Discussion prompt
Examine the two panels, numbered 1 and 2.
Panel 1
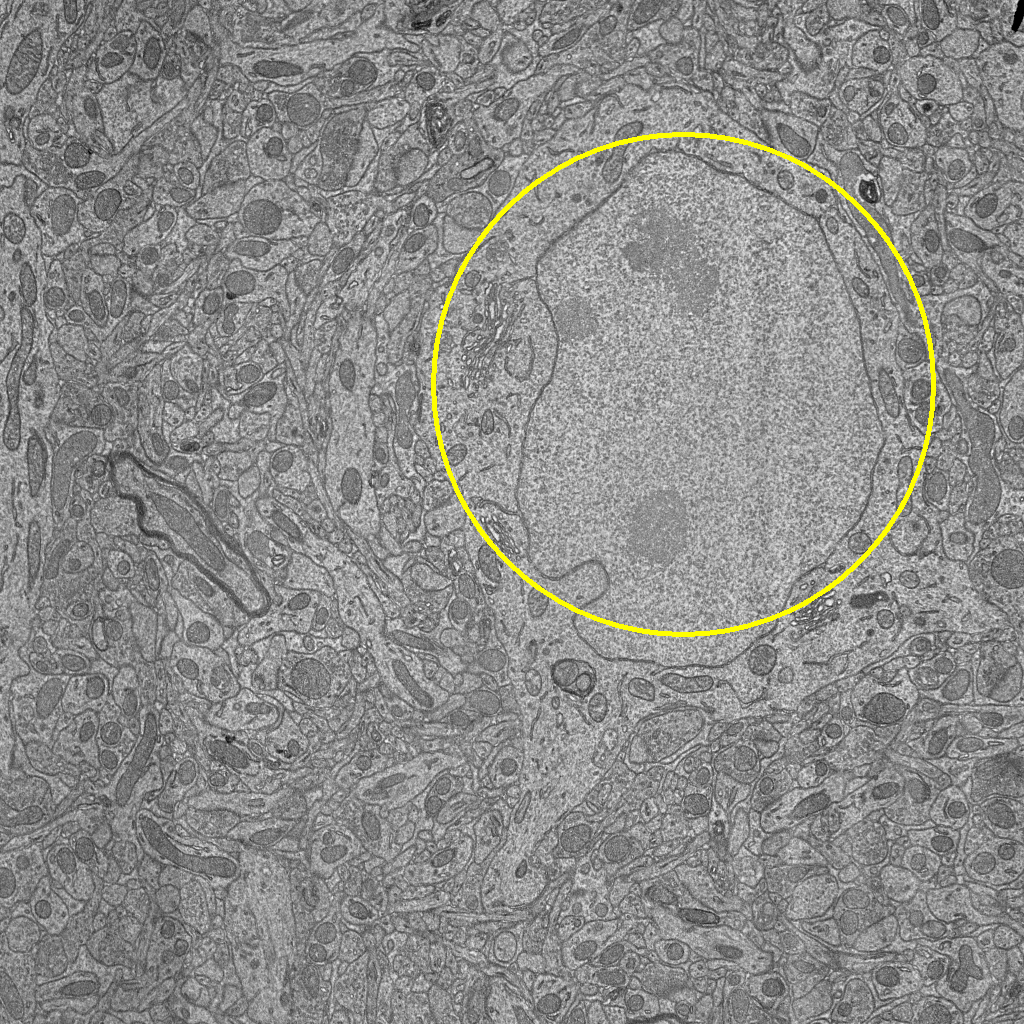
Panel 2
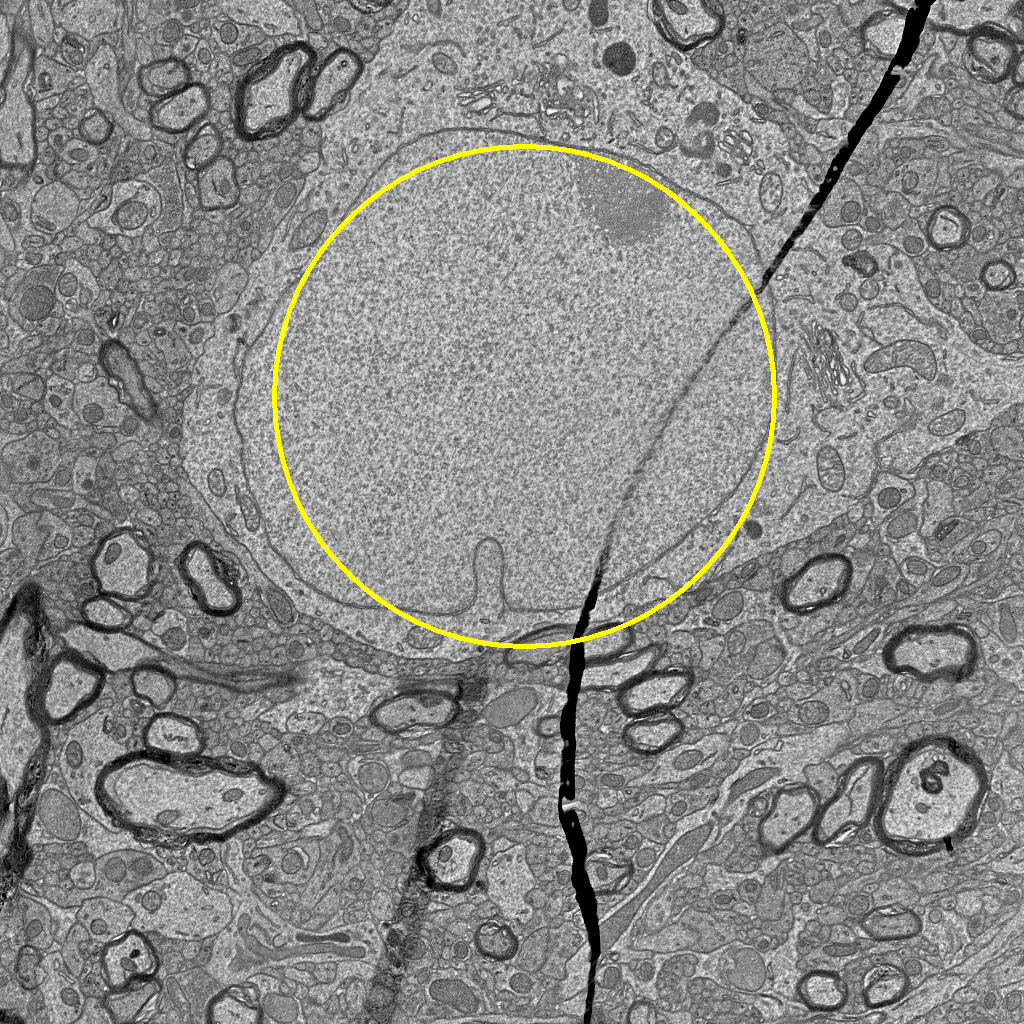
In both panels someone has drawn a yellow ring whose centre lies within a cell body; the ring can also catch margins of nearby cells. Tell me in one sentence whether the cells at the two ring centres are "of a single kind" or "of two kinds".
Taken together, the two cells at the ring centres of Panels 1 and 2 are of a single kind.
